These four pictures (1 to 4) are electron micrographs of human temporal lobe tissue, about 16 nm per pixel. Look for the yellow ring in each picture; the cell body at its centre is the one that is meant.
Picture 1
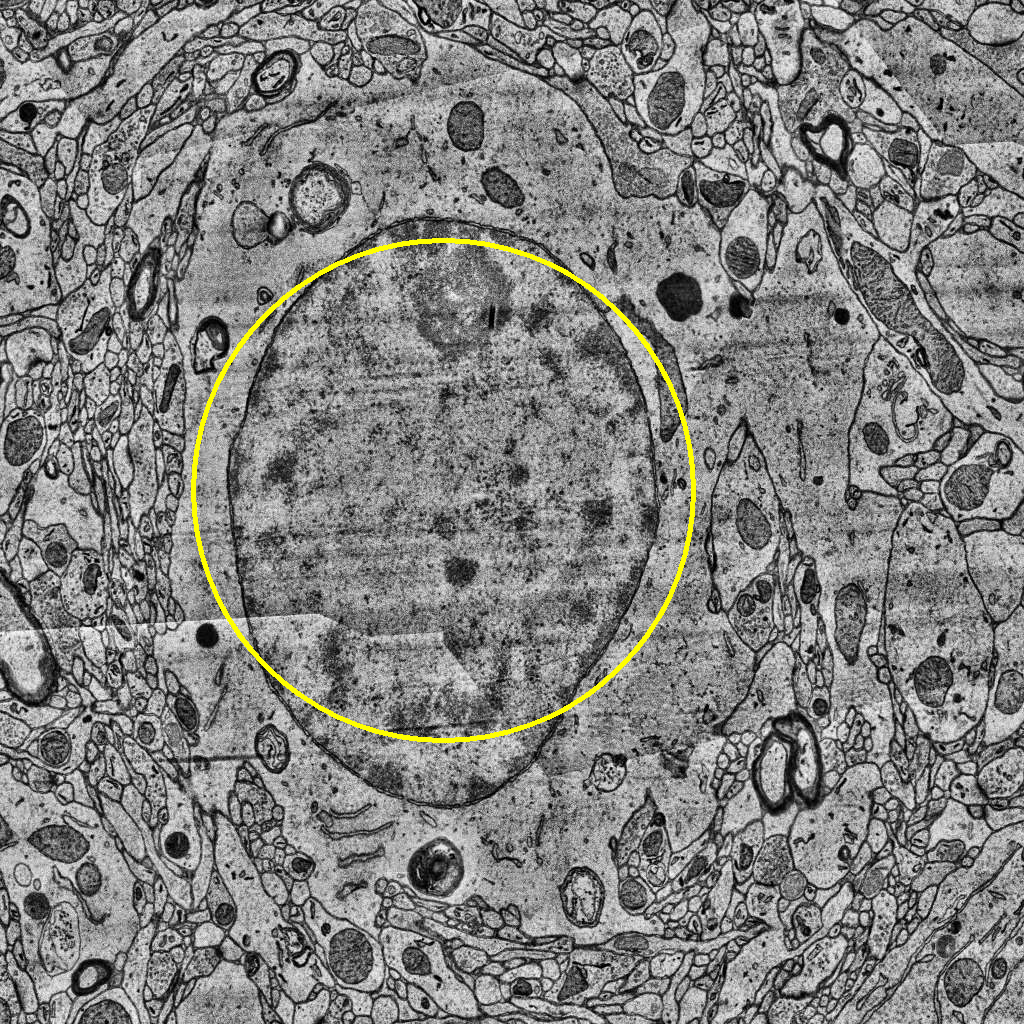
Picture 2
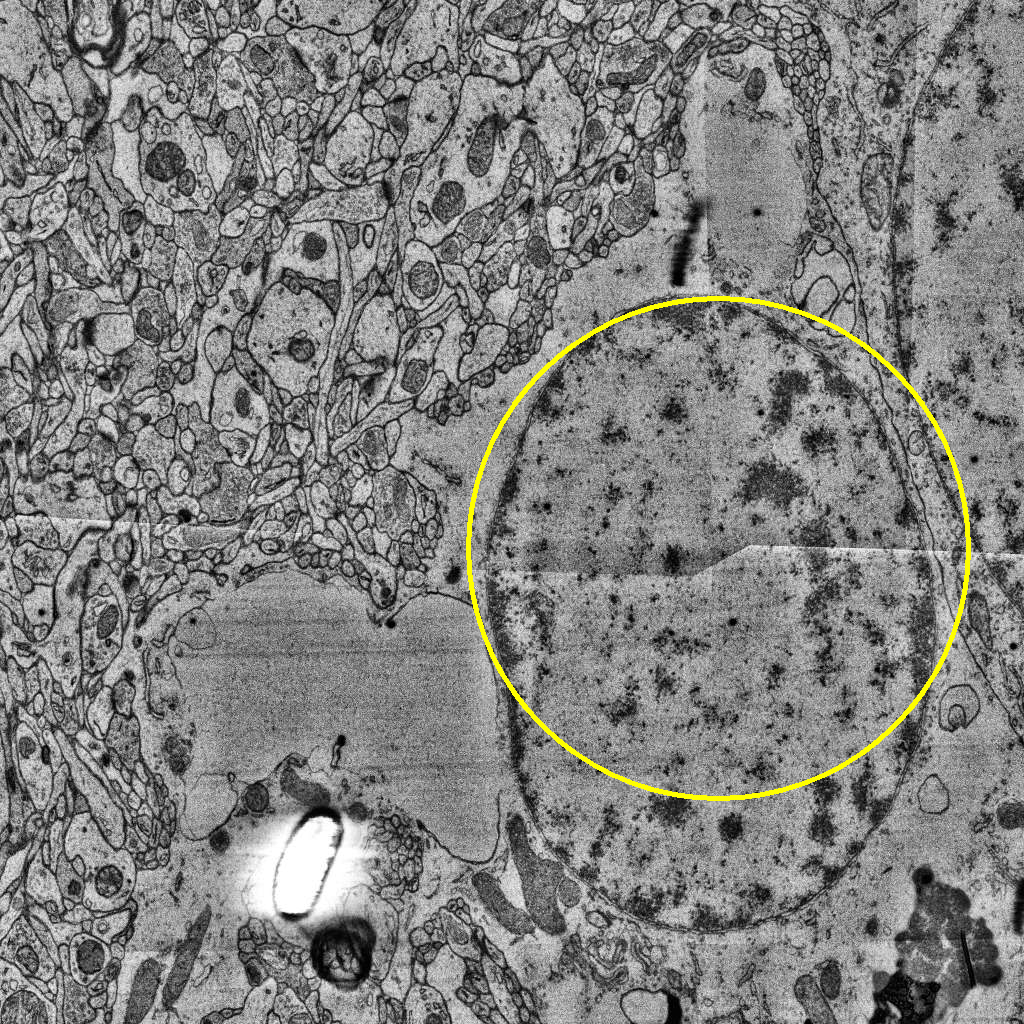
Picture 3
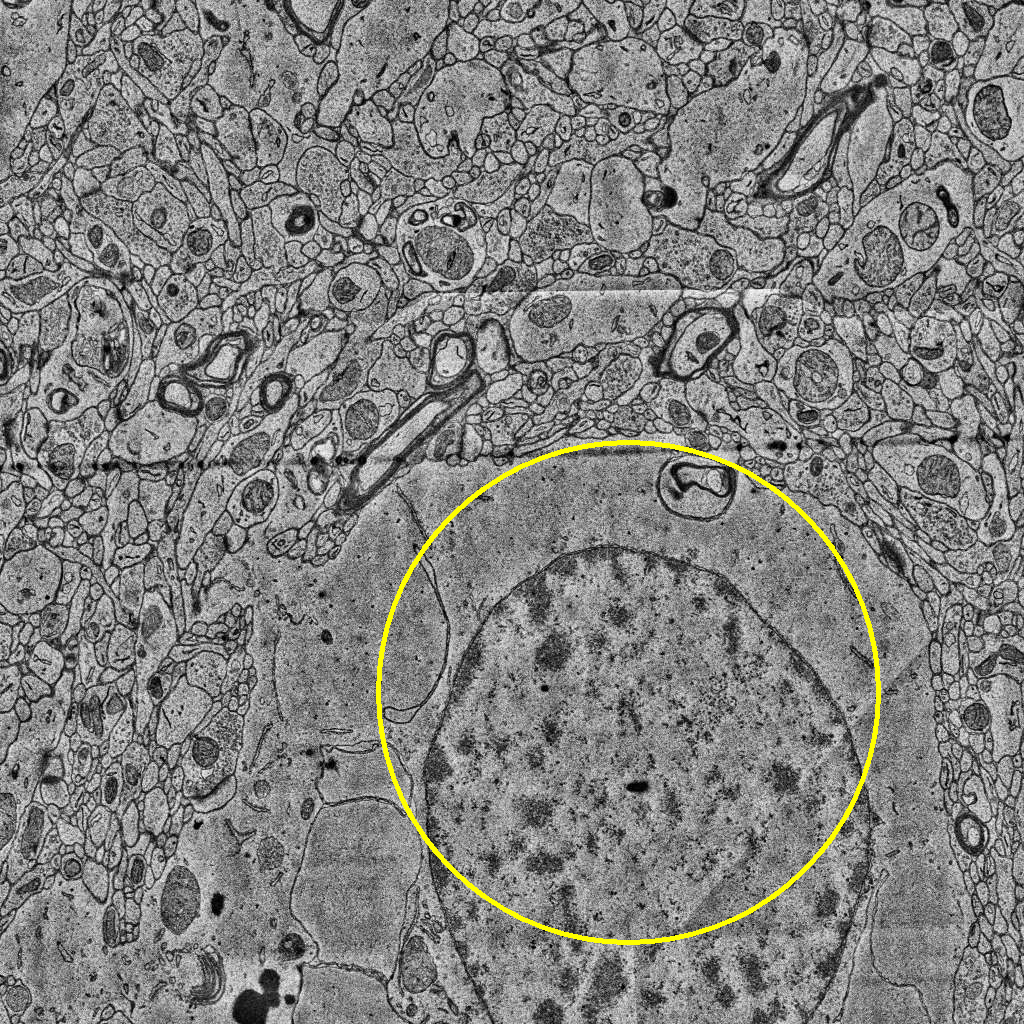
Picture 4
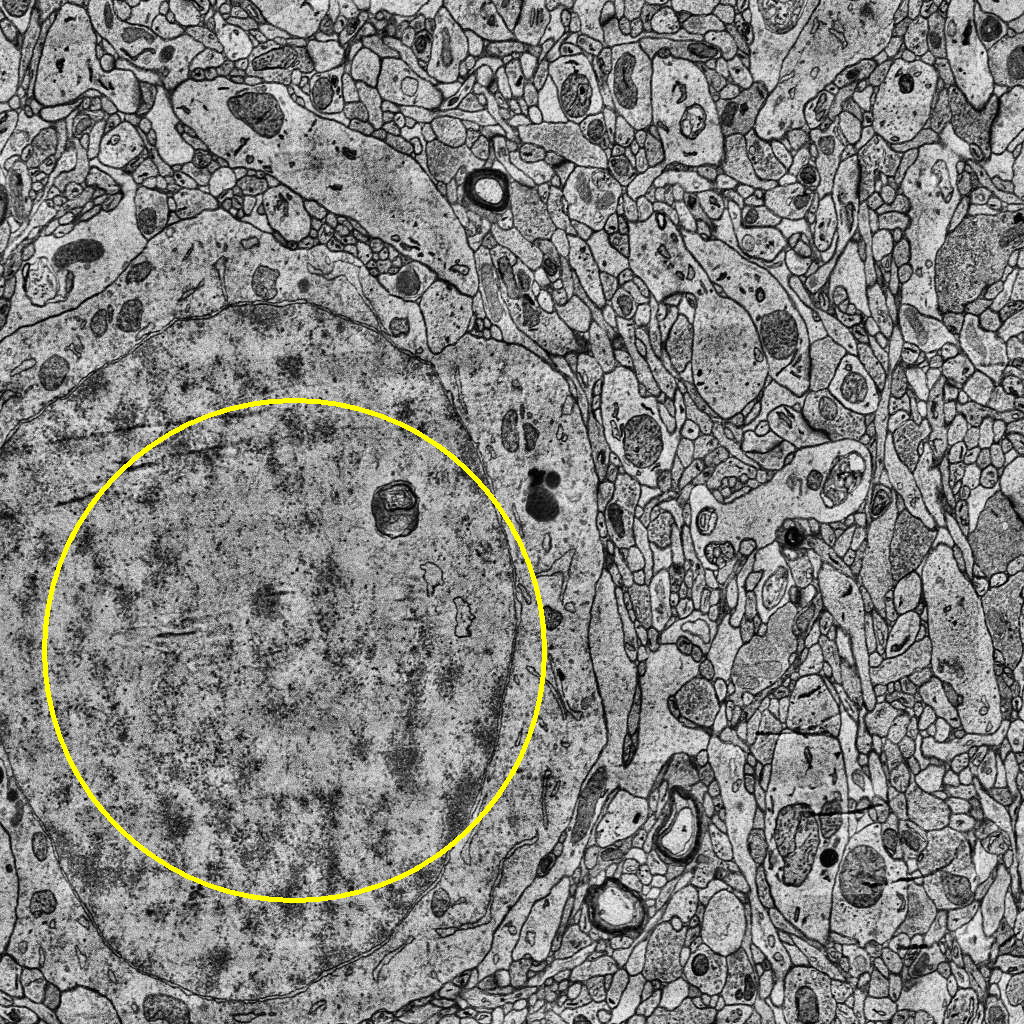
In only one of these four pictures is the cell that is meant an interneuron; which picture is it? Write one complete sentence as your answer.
The interneuron is the one in picture 4.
